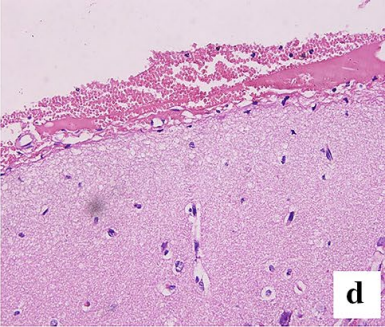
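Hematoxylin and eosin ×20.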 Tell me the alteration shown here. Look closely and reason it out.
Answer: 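A band of densely packed red blood cells lies along the surface of the pale neural tissue. That points to this answer: Hemorrhage.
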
